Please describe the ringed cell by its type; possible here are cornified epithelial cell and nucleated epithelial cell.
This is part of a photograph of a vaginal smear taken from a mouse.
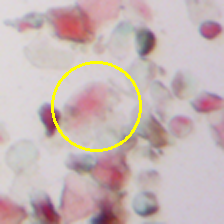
The yellow ring marks a nucleated epithelial cell.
